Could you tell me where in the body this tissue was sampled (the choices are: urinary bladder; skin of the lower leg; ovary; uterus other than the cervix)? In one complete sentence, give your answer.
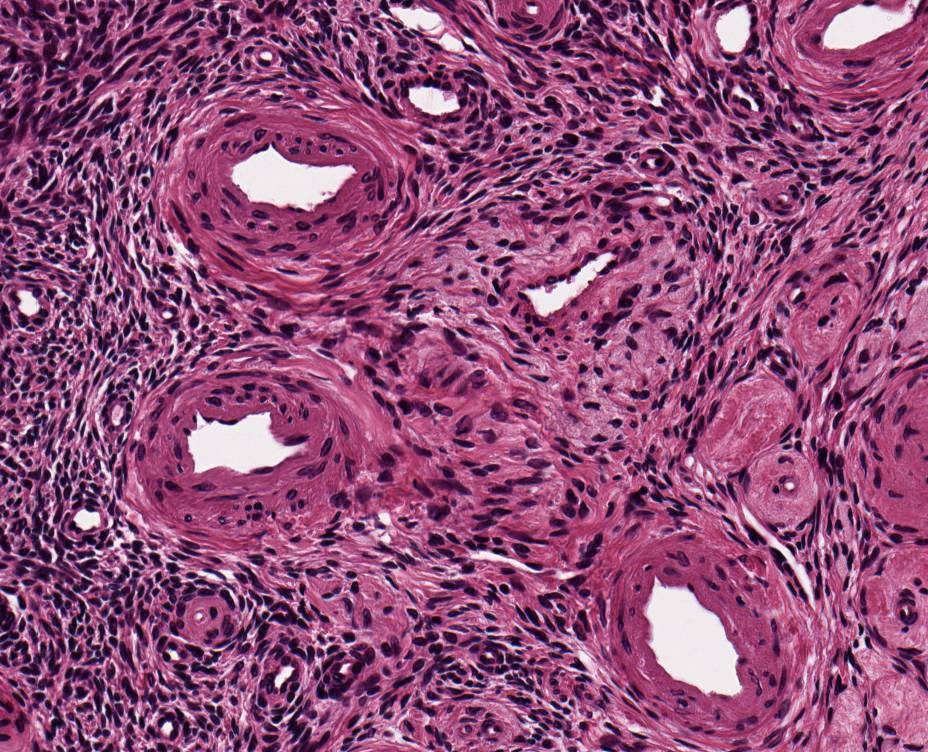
This tissue section originates from the ovary.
